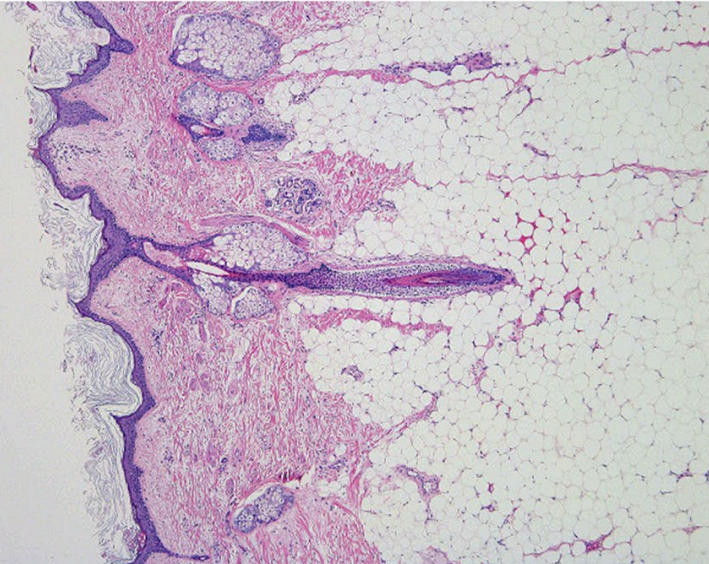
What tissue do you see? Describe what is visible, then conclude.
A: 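A surface epithelium runs along one edge with layered flakes of keratin above it. Glandular lobules and a hair follicle lie in the connective tissue beneath the epithelium. Fat lies deep to the dermis. The answer: skin.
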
